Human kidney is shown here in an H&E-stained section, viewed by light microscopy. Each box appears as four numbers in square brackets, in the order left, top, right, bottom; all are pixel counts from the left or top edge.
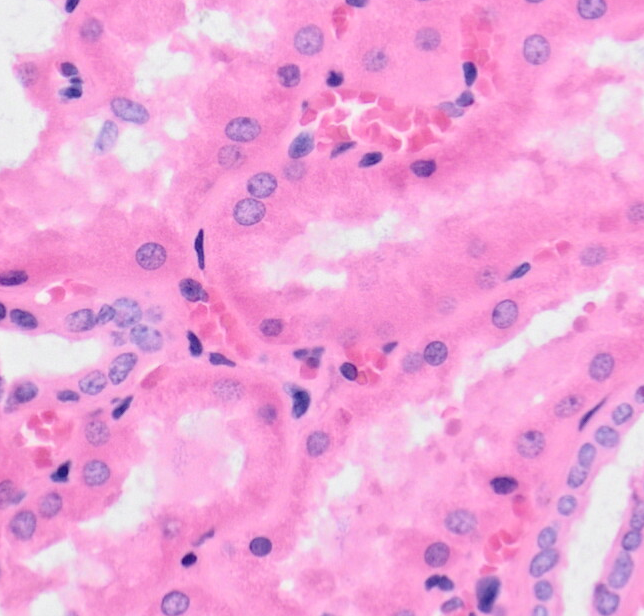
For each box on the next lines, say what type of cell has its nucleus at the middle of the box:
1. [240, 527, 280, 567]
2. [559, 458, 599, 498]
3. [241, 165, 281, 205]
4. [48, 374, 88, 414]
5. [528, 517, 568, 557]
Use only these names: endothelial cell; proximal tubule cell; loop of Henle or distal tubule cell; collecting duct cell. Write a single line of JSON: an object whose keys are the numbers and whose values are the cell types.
{"1": "proximal tubule cell", "2": "collecting duct cell", "3": "proximal tubule cell", "4": "collecting duct cell", "5": "collecting duct cell"}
